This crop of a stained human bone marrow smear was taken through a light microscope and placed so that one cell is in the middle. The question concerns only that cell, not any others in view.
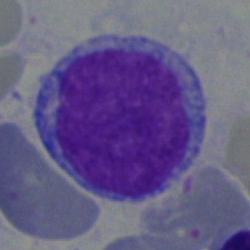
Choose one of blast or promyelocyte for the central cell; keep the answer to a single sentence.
In short, the cell at the center is a blast.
